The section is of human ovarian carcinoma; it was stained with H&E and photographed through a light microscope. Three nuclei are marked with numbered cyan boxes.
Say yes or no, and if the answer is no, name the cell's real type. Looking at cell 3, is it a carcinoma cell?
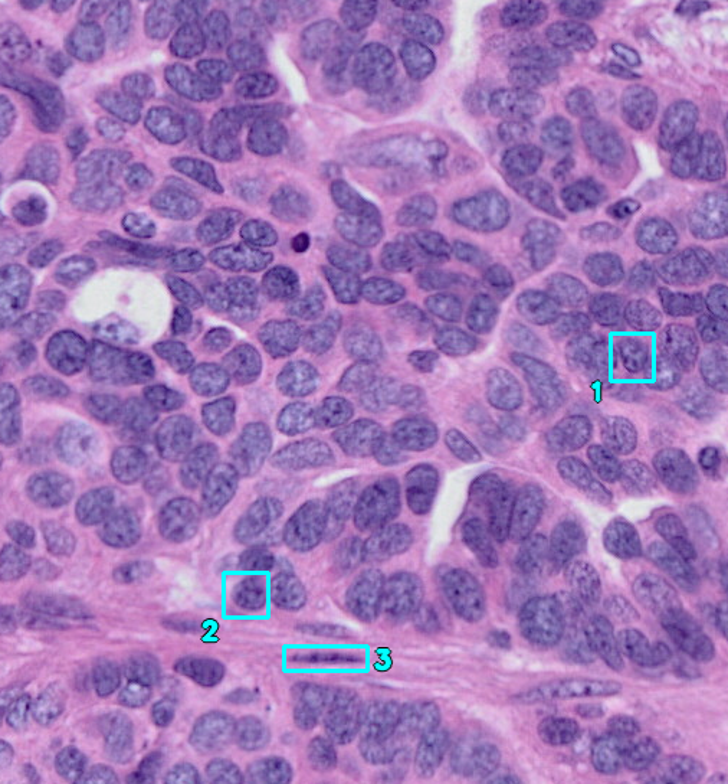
No, it is a fibroblast.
